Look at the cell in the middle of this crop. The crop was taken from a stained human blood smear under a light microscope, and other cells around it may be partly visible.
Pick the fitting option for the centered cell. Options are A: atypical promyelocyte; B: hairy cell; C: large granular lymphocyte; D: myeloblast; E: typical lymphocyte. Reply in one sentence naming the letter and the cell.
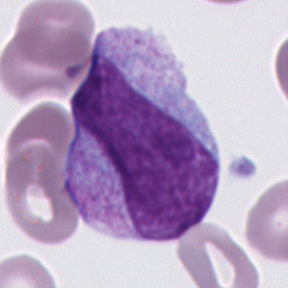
The cell occupying the centre is an atypical promyelocyte; option A is thus the correct choice.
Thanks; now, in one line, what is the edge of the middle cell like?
A smooth outline is absent here, replaced by ragged stretches or projections.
